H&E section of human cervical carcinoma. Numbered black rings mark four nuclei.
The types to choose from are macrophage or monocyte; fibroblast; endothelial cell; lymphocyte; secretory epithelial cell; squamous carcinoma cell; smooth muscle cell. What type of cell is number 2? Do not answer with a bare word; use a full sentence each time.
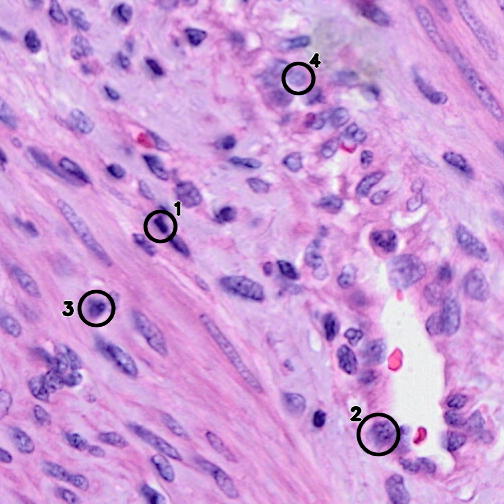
Cell 2, as marked in the section, is an endothelial cell.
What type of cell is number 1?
In the marked set, the cell given number 1 is a lymphocyte.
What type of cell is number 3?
Cell 3 should be recorded as a lymphocyte.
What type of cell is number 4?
The cell indicated with the number 4 is classed as an endothelial cell.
